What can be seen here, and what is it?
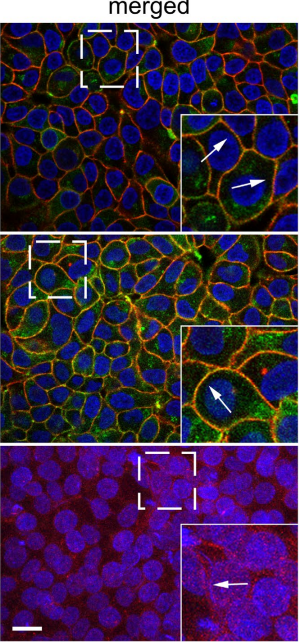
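In the upper two images, every cell is outlined by a sharp red and green line that merges to yellow-orange where neighbours meet. This gives a honeycomb of polygonal cells, and a few green specks lie in the cytoplasm. In the lowest image, the crisp outlines are largely gone. Red is spread diffusely through the sheet, the nuclei are crowded together, and only faint, fragmentary lines remain at a few cell contacts.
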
